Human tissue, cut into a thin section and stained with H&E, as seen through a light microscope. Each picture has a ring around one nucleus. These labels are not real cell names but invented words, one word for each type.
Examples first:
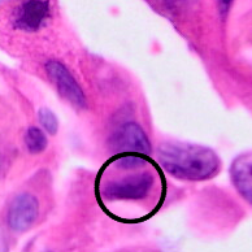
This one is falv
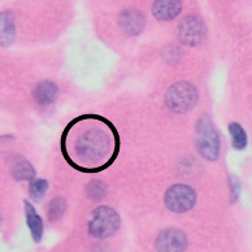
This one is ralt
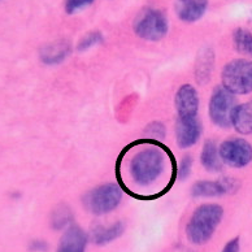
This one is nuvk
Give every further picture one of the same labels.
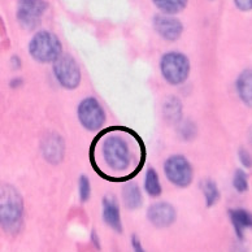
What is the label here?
nuvk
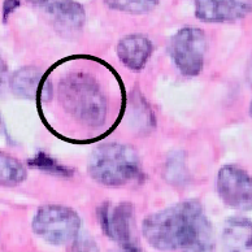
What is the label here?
falv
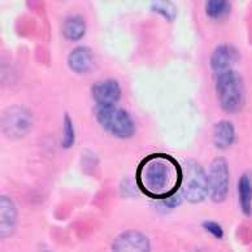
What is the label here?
nuvk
